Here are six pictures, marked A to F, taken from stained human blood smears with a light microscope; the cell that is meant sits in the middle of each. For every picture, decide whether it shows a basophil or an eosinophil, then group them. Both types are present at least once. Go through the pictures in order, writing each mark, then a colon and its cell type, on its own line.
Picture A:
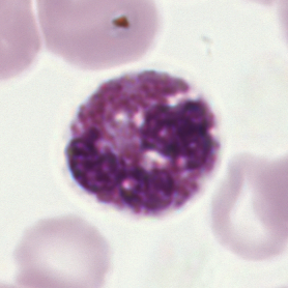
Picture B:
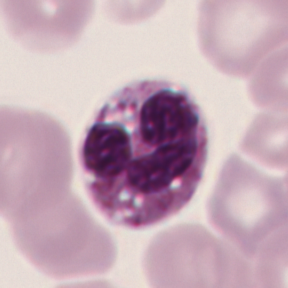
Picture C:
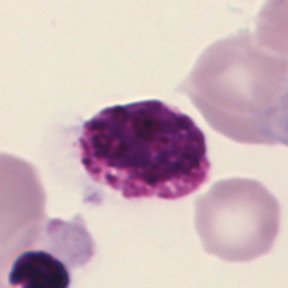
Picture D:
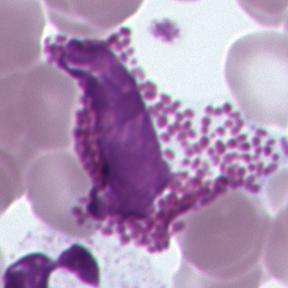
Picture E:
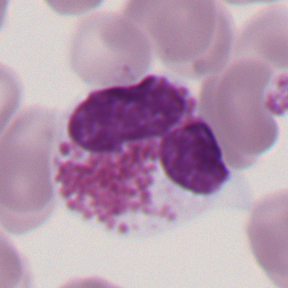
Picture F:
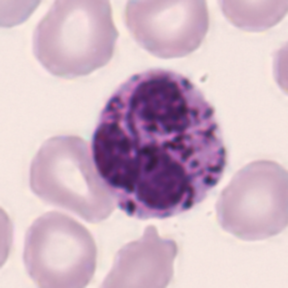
A: eosinophil
B: eosinophil
C: basophil
D: eosinophil
E: eosinophil
F: basophil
